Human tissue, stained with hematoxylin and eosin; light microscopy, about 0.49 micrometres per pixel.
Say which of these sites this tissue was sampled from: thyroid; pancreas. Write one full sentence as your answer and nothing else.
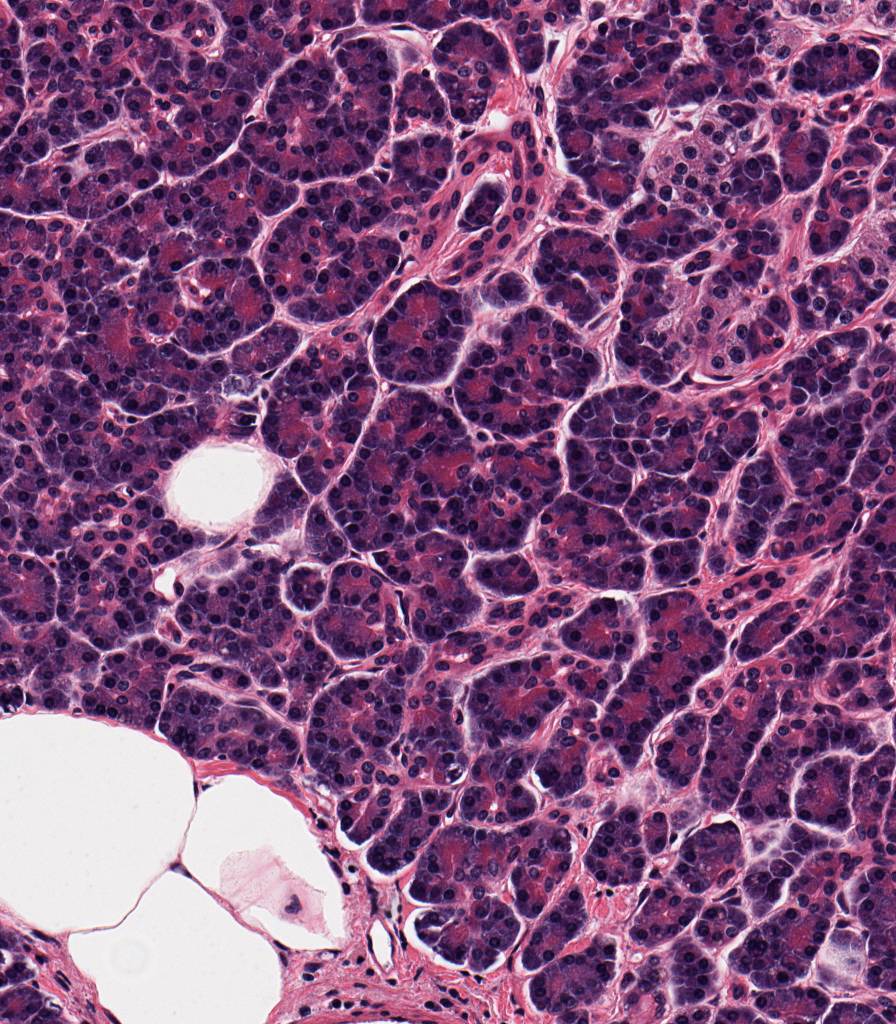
This mounted section holds tissue from the pancreas.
